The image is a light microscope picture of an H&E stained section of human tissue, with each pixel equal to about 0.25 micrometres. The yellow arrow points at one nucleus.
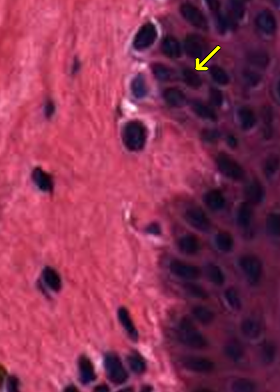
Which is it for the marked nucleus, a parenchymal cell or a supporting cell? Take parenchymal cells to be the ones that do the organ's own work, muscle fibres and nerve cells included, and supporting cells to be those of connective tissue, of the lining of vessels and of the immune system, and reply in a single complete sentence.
The marked nucleus is carried by a parenchymal cell, namely a keratinocyte.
